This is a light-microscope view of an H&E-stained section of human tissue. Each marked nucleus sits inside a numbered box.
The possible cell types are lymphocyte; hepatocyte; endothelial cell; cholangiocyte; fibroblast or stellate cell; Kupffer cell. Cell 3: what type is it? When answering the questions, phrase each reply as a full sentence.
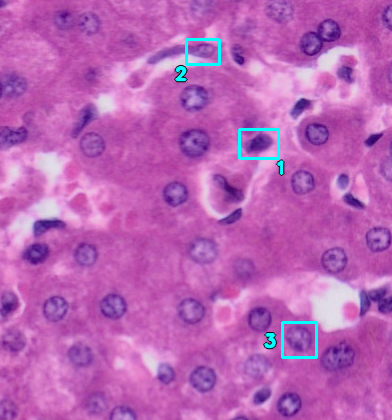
Number 3 is placed on a hepatocyte here.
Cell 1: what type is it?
Cell 1 is classified as a fibroblast or stellate cell.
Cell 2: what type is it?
Classified as a Kupffer cell is the cell with the number 2.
